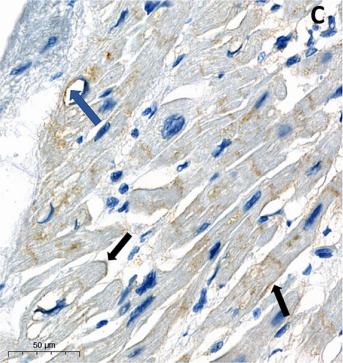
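Here we see heart muscle at high power, its cells cut obliquely so they appear as elongated grey-blue profiles with clear gaps between them. Blue nuclei vary in size; some muscle nuclei are large and dark, others are small and belong to cells between the fibres. Fine brown granules are scattered through the cytoplasm and gather along the borders of the muscle cells. Near the upper left a small round vessel opens as a clear space, lined by flattened cells. The spaces between fibres suggest loosening of the tissue.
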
